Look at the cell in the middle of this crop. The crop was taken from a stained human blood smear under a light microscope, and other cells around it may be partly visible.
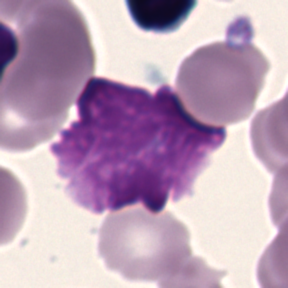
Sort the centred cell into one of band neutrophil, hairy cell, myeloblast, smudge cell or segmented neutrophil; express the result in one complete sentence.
The cell centred in this crop is categorized as a smudge cell.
